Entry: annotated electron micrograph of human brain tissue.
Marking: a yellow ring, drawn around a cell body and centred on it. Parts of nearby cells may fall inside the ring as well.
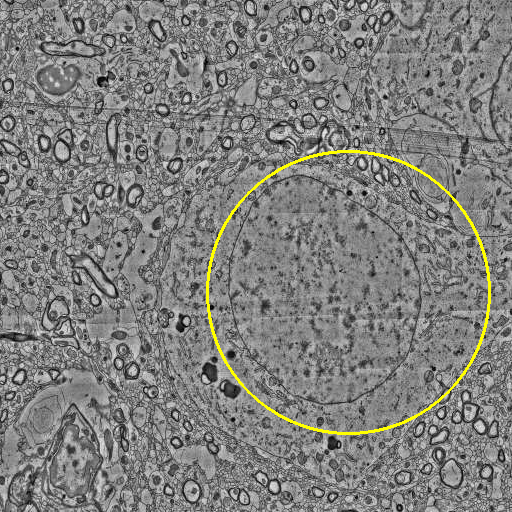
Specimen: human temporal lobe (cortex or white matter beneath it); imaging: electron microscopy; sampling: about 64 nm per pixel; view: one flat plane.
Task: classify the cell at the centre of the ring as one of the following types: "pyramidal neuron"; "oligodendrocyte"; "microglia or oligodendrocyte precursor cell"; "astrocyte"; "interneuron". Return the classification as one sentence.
The marked cell is classified as a pyramidal neuron.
